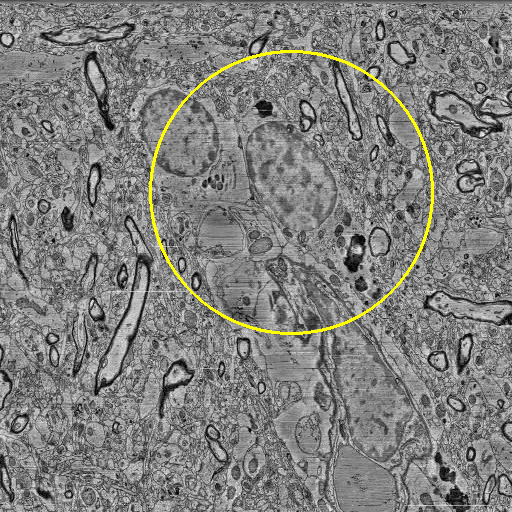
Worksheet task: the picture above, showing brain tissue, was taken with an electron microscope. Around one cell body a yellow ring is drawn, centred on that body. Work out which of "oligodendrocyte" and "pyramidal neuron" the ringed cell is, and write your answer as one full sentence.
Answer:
It is an oligodendrocyte whose cell body lies at the centre of the yellow ring.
